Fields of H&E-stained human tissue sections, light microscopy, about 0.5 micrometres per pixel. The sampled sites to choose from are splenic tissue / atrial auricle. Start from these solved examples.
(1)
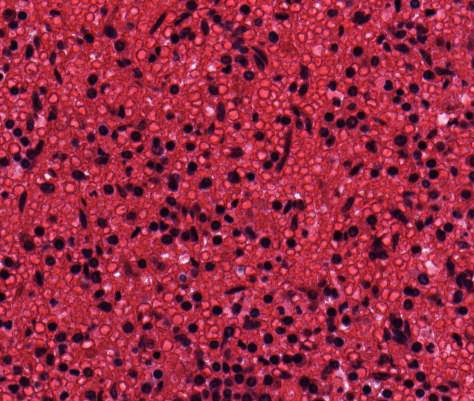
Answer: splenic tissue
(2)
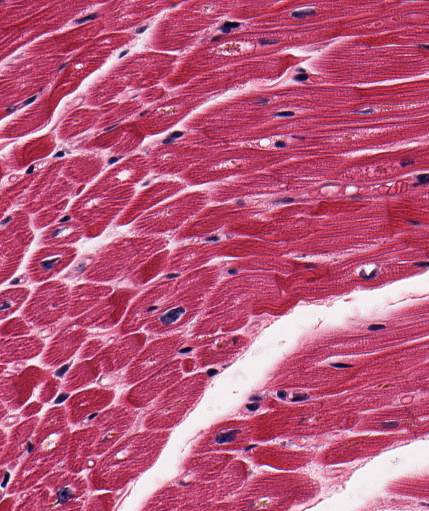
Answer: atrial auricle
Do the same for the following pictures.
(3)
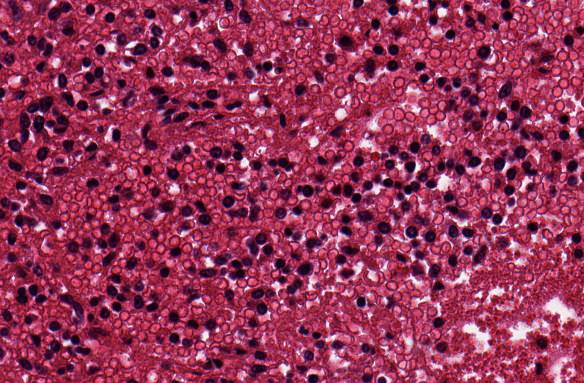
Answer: splenic tissue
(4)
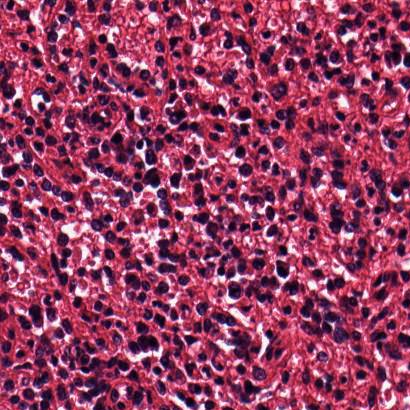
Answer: splenic tissue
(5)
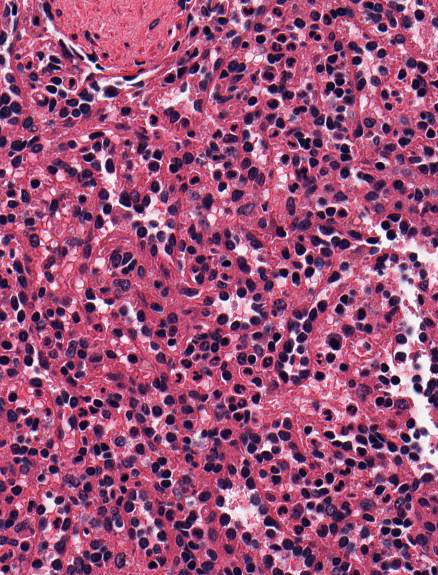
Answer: splenic tissue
